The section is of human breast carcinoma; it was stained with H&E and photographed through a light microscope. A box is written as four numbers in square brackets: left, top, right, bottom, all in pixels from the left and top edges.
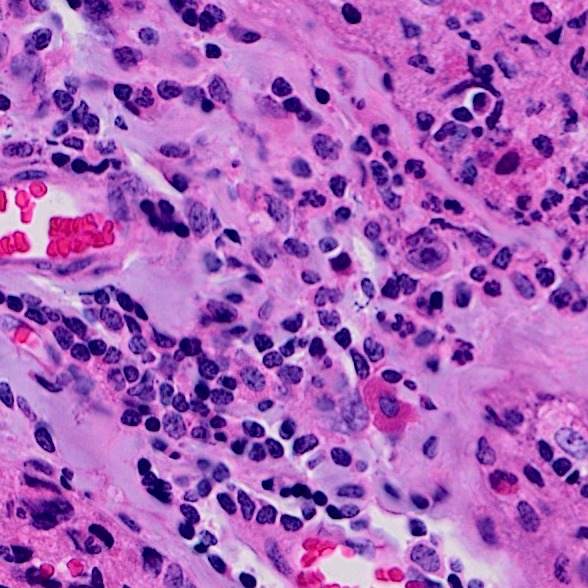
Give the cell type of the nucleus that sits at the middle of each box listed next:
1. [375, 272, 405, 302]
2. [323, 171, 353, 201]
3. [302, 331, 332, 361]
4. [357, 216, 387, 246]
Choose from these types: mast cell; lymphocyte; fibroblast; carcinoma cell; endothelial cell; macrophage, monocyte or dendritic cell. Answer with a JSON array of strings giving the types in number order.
["lymphocyte", "lymphocyte", "lymphocyte", "macrophage, monocyte or dendritic cell"]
